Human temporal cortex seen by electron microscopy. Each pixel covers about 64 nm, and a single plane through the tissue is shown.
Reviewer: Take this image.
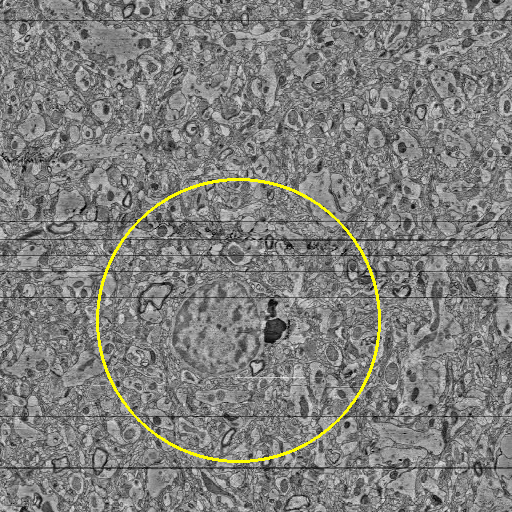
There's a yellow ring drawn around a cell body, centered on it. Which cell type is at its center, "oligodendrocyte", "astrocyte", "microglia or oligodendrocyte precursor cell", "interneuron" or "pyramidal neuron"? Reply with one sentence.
At the center of the yellow ring is an oligodendrocyte.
